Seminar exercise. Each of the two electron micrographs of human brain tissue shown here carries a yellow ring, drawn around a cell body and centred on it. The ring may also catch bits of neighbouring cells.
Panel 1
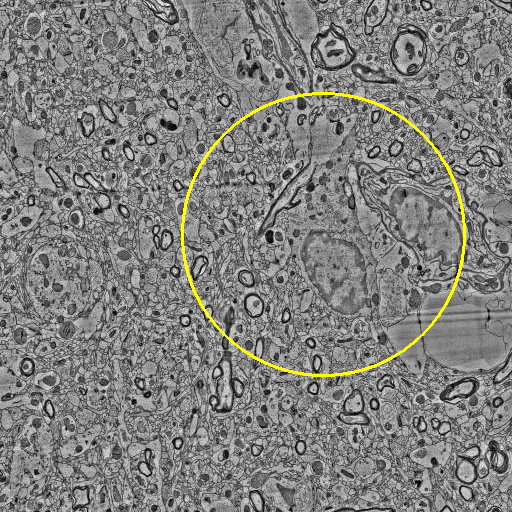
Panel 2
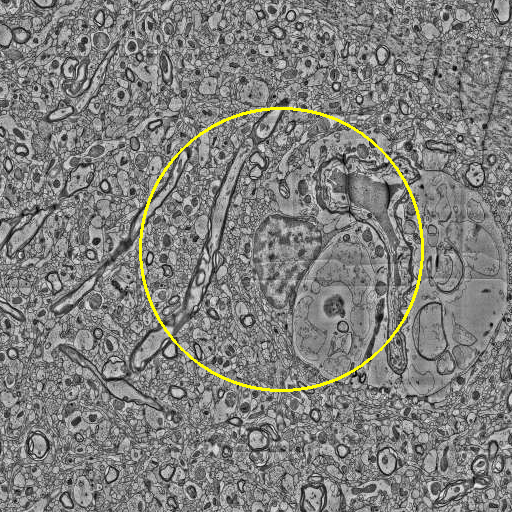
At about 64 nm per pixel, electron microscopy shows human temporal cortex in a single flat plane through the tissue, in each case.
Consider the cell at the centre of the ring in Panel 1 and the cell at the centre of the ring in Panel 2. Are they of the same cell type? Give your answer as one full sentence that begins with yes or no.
Yes, both cells are of the same type.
